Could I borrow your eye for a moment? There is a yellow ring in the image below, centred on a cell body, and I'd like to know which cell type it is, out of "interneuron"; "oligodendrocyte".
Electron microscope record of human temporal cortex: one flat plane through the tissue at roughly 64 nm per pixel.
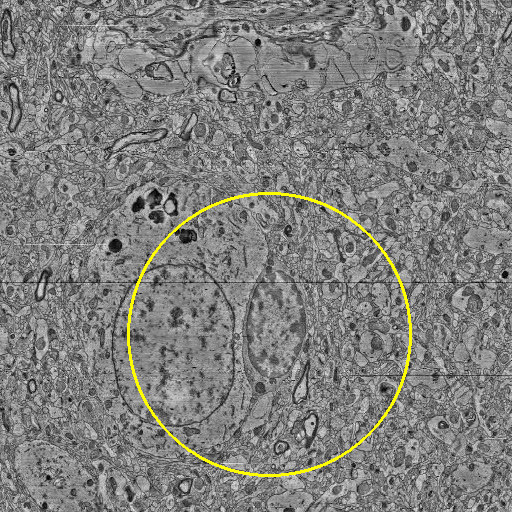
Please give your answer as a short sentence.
The cell body at the centre is that of an oligodendrocyte.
